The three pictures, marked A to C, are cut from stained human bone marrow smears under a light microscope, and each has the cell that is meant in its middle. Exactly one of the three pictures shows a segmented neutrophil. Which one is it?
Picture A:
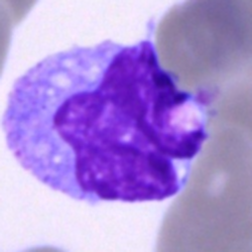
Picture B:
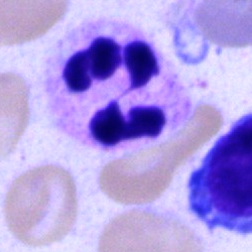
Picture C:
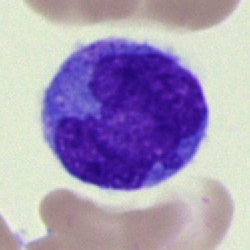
B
